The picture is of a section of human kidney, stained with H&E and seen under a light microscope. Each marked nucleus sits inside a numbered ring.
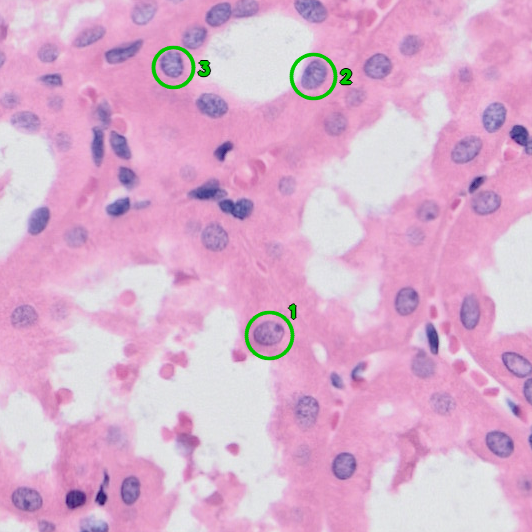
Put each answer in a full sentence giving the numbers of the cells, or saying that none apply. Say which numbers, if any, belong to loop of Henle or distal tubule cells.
The cells numbered 2 and 3 are identified as loop of Henle or distal tubule cells.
